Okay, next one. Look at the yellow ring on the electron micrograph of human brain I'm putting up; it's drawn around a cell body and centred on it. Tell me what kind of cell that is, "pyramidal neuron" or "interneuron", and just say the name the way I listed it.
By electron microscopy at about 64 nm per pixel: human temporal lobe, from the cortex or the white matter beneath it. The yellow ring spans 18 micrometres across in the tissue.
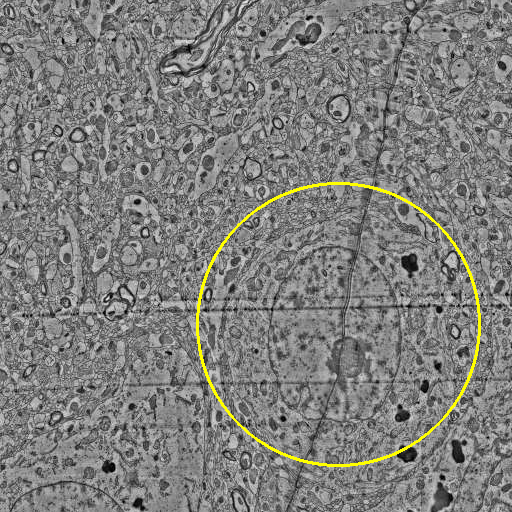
interneuron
